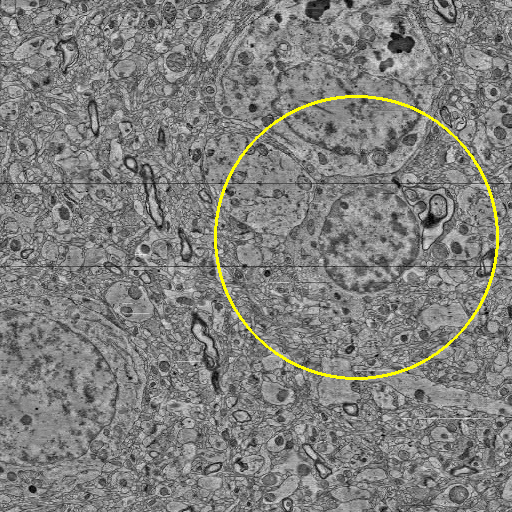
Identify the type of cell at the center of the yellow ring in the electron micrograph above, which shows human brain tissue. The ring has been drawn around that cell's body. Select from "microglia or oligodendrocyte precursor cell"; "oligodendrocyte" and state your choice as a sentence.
The yellow ring is centered on the body of an oligodendrocyte.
